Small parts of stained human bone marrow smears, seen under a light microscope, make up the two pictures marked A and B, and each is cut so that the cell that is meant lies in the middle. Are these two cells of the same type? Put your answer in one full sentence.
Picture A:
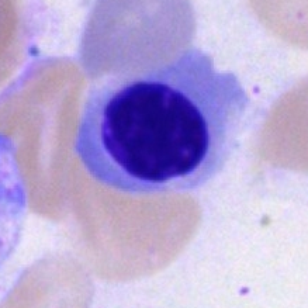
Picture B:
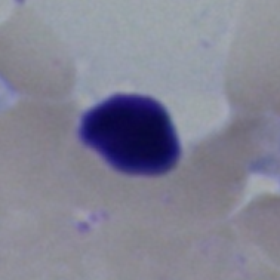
Yes; the cells in both pictures are erythroblasts.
